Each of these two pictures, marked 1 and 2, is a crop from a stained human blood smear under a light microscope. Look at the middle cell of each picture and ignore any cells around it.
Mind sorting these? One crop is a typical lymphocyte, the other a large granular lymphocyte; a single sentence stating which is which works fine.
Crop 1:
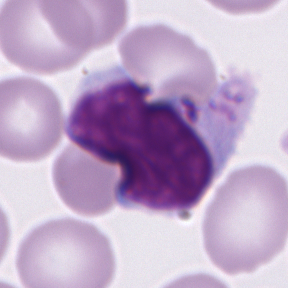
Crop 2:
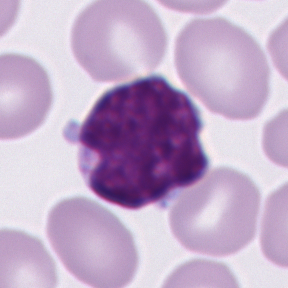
Crop 1 is a large granular lymphocyte, and crop 2 is a typical lymphocyte.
